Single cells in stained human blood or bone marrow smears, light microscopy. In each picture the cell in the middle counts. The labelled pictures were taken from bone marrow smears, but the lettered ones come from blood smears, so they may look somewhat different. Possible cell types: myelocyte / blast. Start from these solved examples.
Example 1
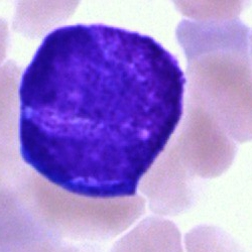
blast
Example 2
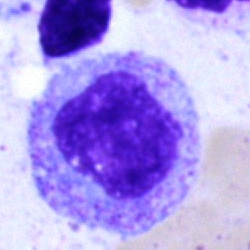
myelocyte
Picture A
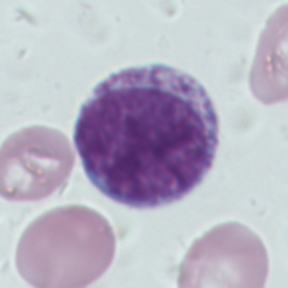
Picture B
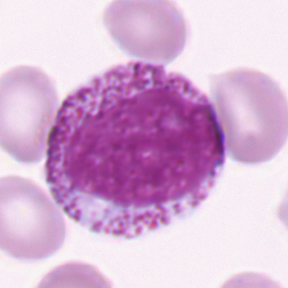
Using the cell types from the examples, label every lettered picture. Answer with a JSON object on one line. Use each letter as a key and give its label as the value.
{"A": "myelocyte", "B": "myelocyte"}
